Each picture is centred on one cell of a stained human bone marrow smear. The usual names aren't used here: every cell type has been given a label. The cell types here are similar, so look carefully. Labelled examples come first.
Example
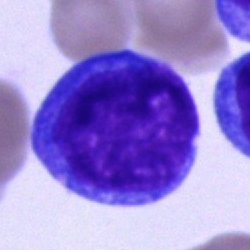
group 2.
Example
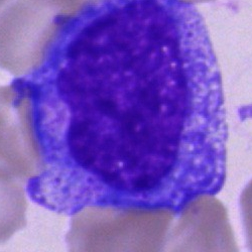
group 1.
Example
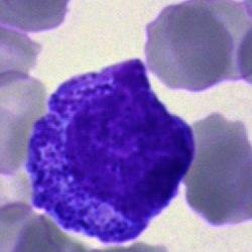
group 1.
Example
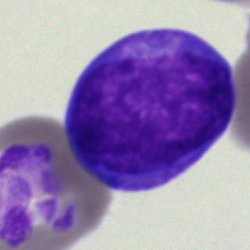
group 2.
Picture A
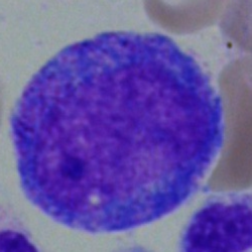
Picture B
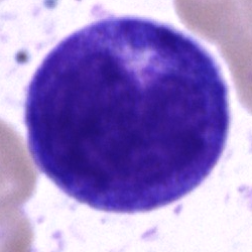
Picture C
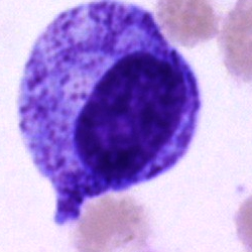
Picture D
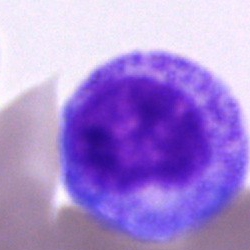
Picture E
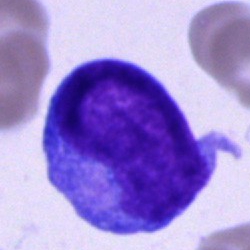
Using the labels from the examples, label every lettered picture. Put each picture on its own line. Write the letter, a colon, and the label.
A: group 1.
B: group 1.
C: group 1.
D: group 1.
E: group 2.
